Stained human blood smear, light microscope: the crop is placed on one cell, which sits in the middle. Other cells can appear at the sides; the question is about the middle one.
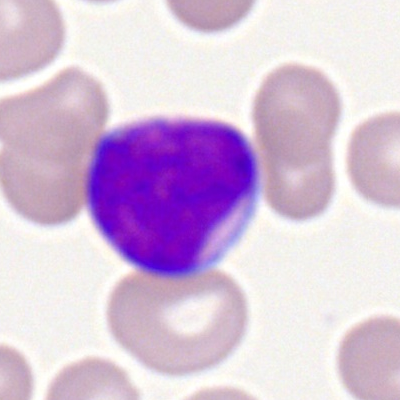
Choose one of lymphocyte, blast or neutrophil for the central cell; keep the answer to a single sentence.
The central cell in this smear crop is a blast.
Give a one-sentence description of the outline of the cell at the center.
Expected answer: a smooth cell outline without projections of any sort.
